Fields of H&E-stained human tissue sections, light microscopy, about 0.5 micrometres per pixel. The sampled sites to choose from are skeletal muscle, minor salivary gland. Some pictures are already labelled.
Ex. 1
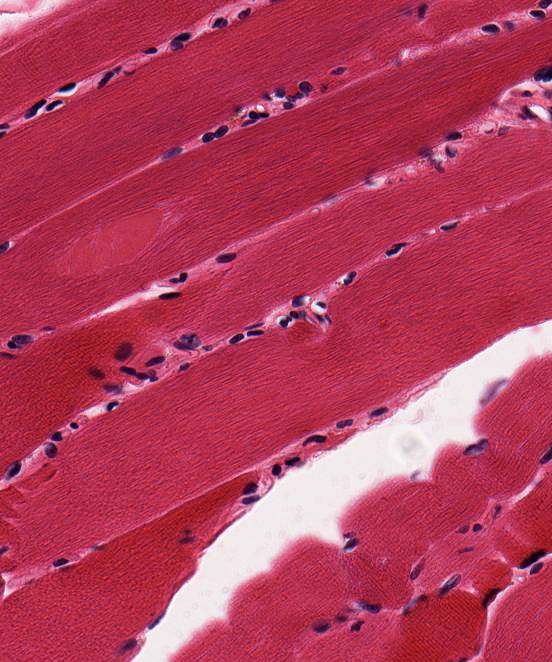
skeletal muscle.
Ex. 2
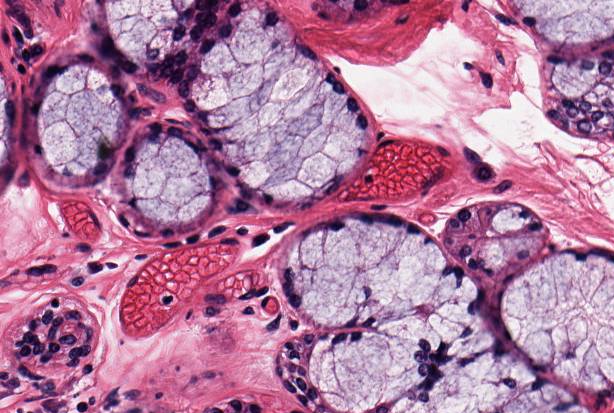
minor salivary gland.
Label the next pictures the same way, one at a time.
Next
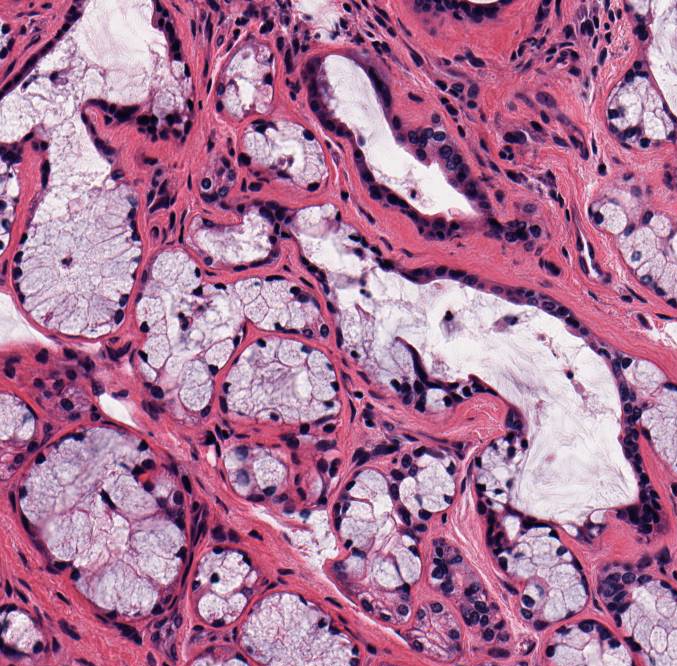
minor salivary gland.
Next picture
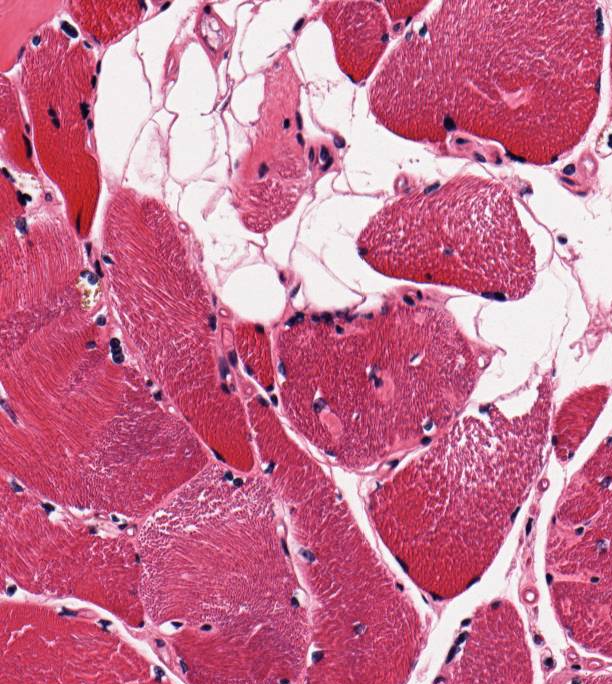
skeletal muscle.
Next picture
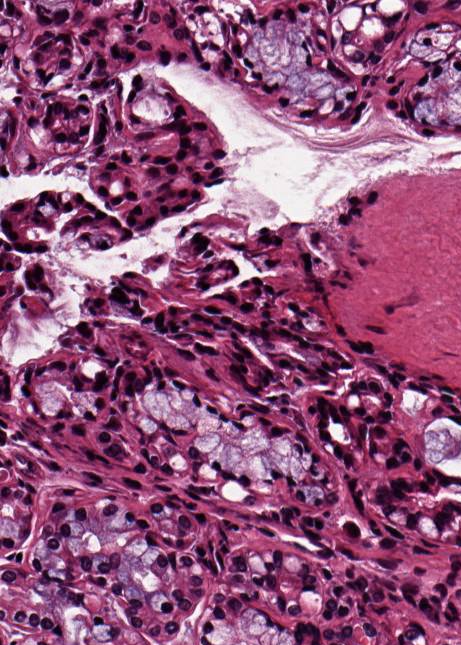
minor salivary gland.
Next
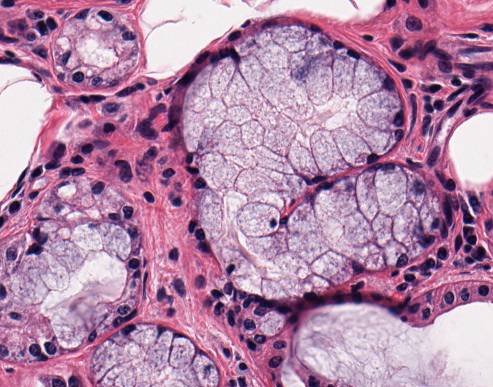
minor salivary gland.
